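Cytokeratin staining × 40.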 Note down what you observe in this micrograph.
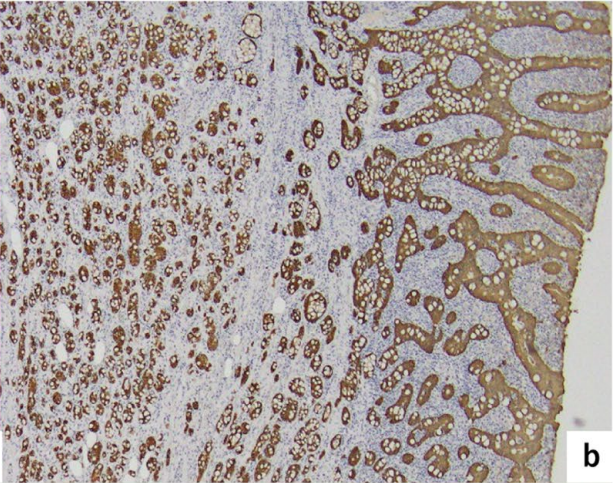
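This low-power field shows epithelial cells stained brown against blue-counterstained stroma. At the right, a surface lining of brown epithelium forms branching glands with many clear goblet vacuoles. To the left, the wall is infiltrated by countless small brown nests of goblet cells, each with clear rounded mucin vacuoles, lying singly, in small clusters or in short cords. The nests are separated by pale blue stroma, and a few empty fat spaces appear at the left margin.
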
